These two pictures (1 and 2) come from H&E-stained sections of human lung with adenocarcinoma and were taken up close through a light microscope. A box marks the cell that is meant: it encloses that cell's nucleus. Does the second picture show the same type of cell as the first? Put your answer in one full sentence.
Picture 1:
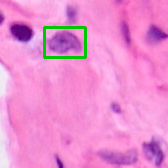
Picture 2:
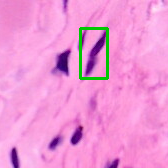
Yes, the two pictures both show fibroblasts.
